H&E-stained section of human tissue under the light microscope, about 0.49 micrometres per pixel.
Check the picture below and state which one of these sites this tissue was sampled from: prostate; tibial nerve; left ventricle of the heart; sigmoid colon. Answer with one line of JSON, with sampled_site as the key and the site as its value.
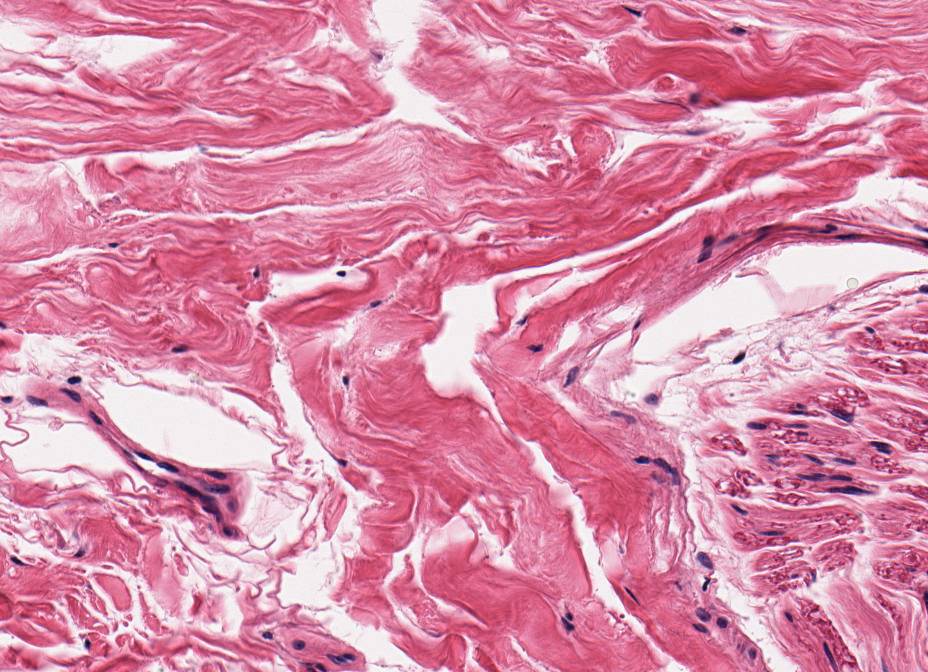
{"sampled_site": "tibial nerve"}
